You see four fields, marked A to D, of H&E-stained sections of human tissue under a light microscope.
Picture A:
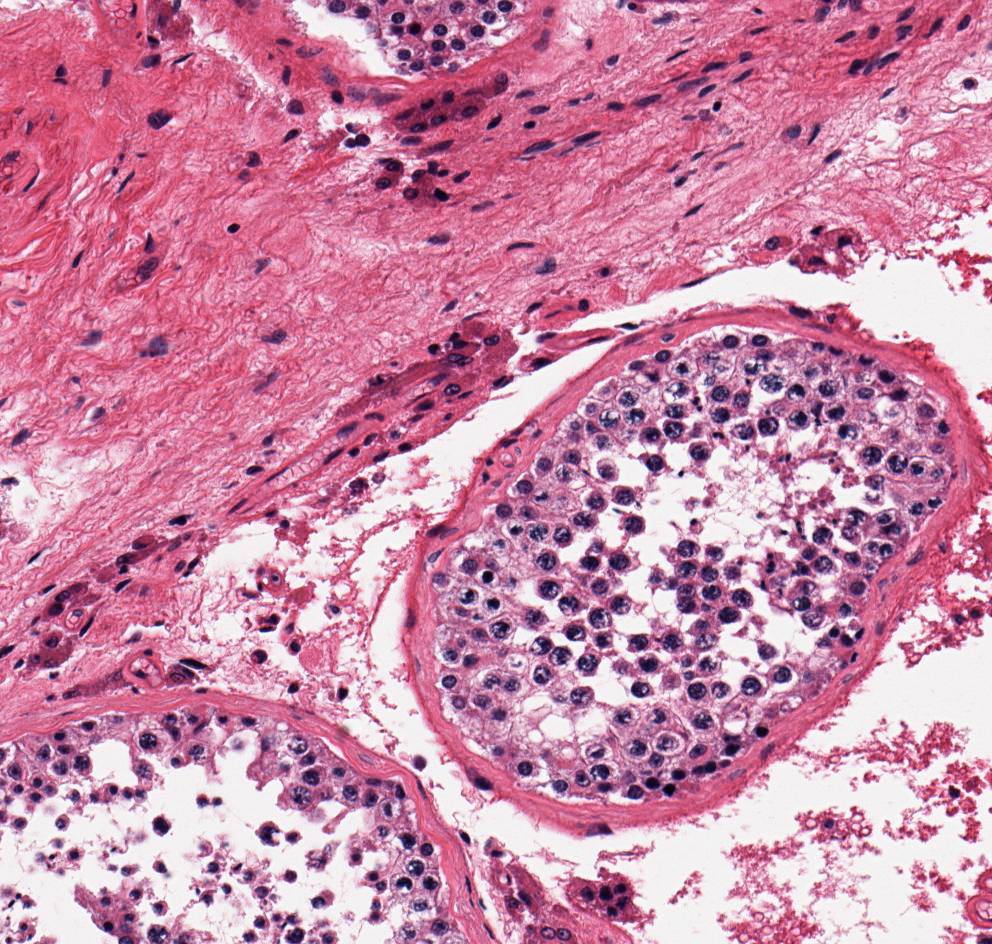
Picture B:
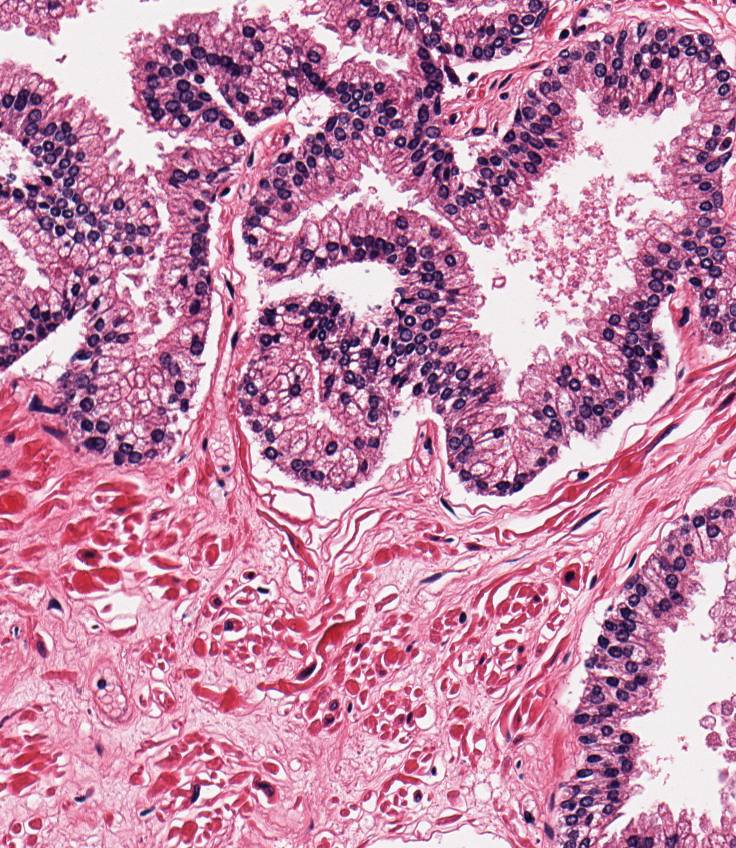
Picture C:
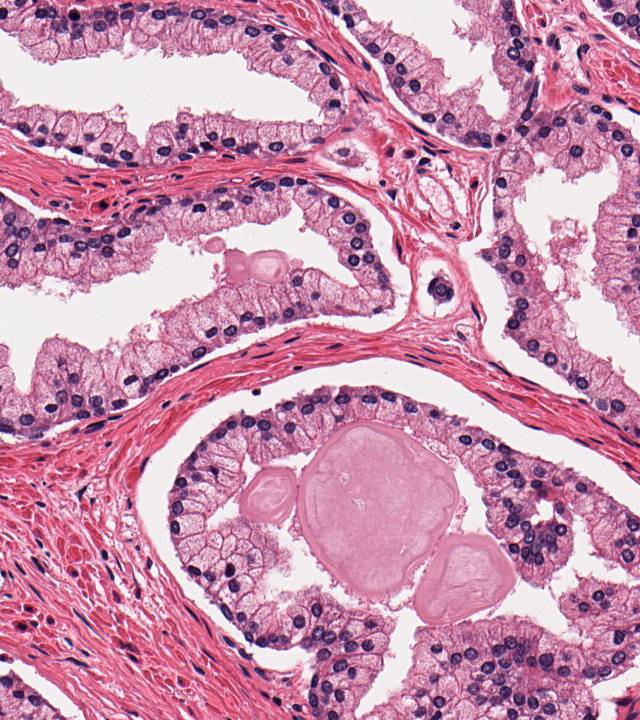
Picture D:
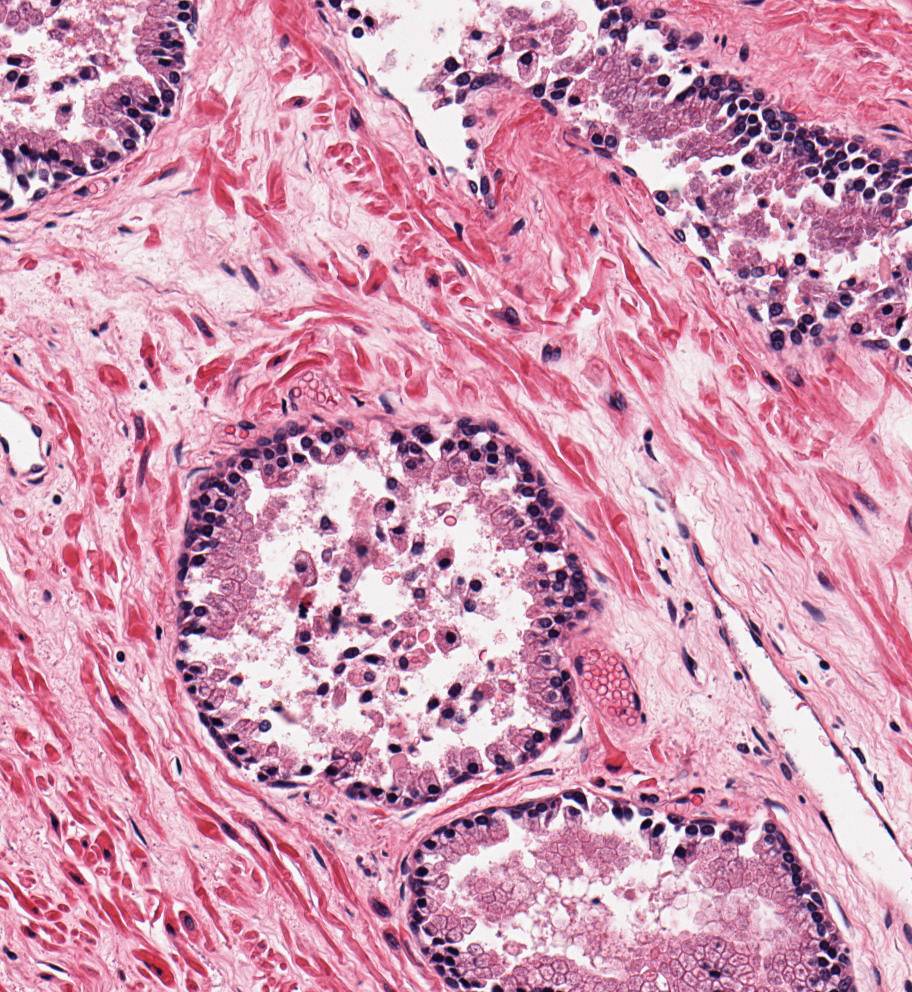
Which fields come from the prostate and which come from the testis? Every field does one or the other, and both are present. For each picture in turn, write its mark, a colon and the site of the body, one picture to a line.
A: testis
B: prostate
C: prostate
D: prostate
